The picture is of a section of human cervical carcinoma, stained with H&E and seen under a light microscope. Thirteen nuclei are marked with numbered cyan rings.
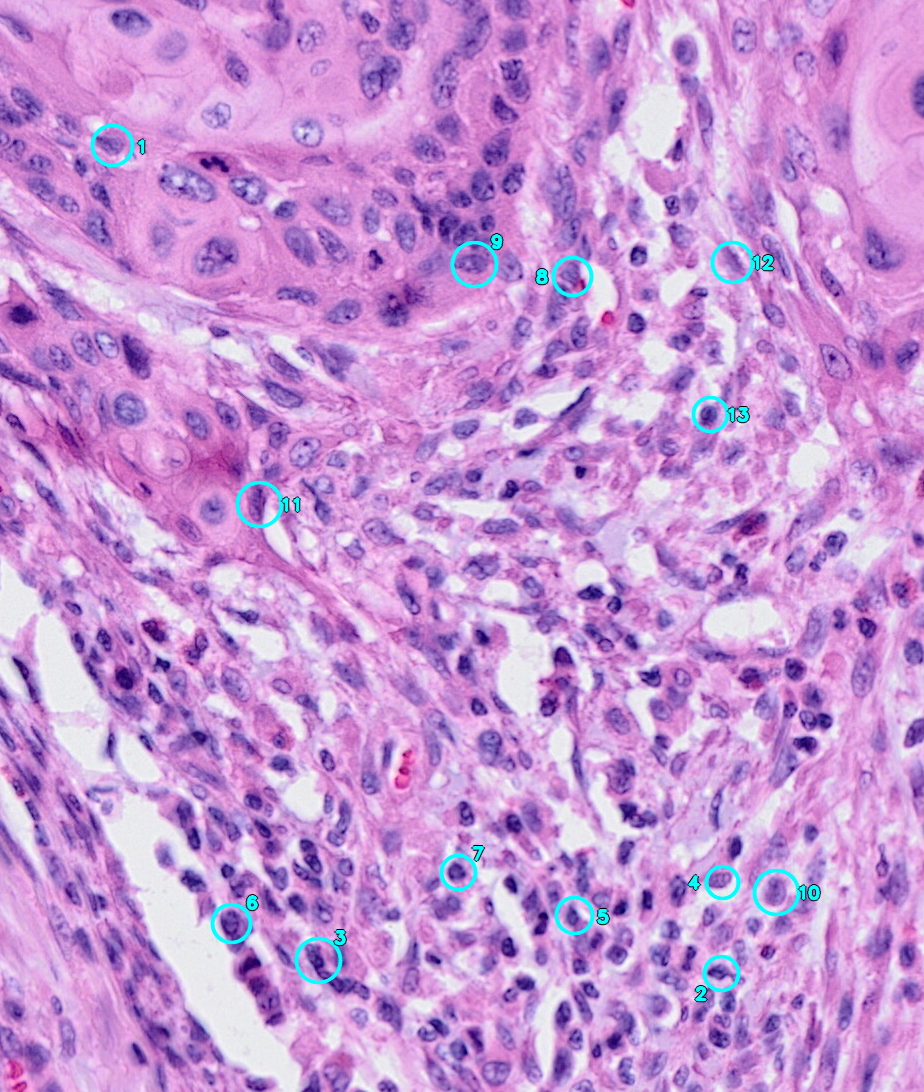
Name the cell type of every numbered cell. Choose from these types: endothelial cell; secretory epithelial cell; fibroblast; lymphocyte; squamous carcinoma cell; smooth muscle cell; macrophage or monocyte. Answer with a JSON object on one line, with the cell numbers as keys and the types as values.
{"1": "squamous carcinoma cell", "2": "lymphocyte", "3": "lymphocyte", "4": "macrophage or monocyte", "5": "lymphocyte", "6": "lymphocyte", "7": "lymphocyte", "8": "endothelial cell", "9": "squamous carcinoma cell", "10": "macrophage or monocyte", "11": "squamous carcinoma cell", "12": "fibroblast", "13": "lymphocyte"}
